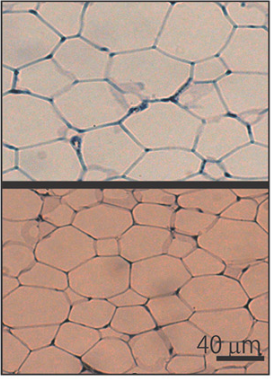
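Two sections of fat tissue are stacked one above the other. Each is packed with large, polygonal cells whose interiors look empty and pale. Only thin walls separate the cells, and scattered small, dark, flattened nuclei sit at the edges of some cells. In the lower section the cells appear somewhat smaller and more evenly sized than in the upper one.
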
